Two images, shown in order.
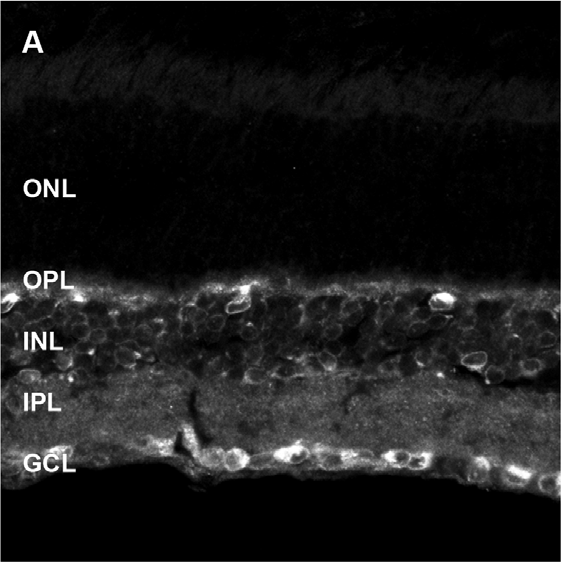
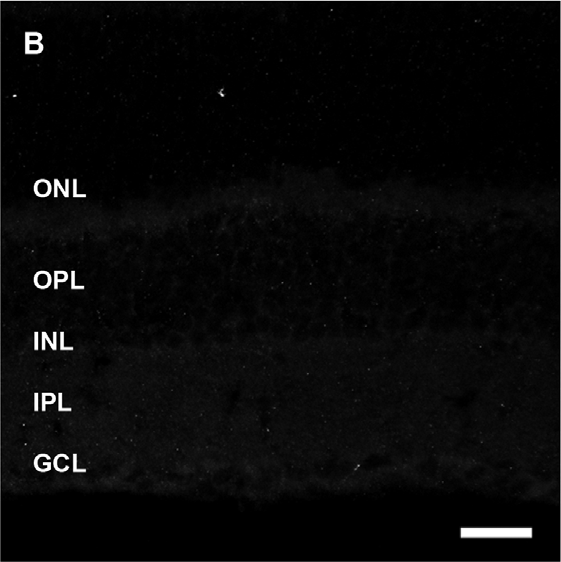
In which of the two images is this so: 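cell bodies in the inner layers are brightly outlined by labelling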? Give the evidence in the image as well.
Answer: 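Second image: all layers are uniformly dark, with no outlined cell bodies. First image: bright rings outline cell bodies in the middle nuclear band and along the bottom row, with diffuse grey in the fibrous layers. On this evidence: the first image.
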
